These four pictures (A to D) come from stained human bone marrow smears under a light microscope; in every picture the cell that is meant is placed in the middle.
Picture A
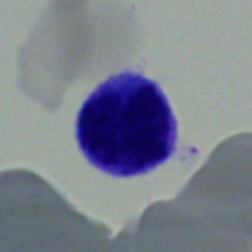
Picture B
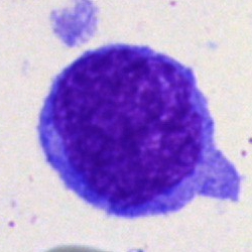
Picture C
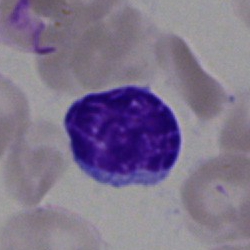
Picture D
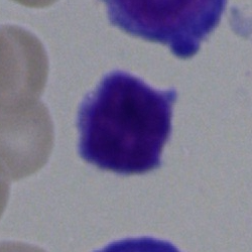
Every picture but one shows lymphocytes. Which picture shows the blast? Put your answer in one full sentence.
Picture B is the one that shows the blast.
